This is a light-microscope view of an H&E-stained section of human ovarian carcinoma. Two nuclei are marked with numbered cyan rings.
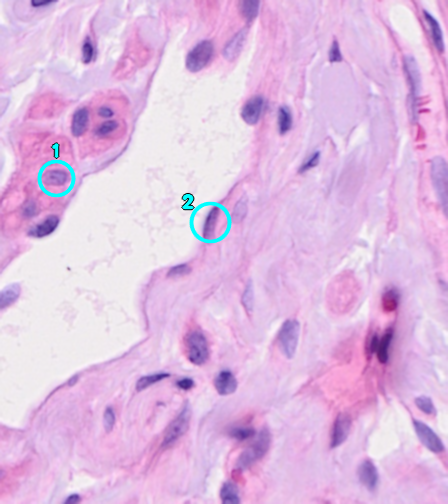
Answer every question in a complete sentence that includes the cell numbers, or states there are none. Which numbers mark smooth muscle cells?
The numbered cell that is a smooth muscle cell is cell 1, and it is the only one.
